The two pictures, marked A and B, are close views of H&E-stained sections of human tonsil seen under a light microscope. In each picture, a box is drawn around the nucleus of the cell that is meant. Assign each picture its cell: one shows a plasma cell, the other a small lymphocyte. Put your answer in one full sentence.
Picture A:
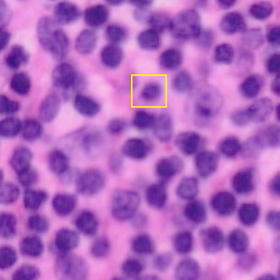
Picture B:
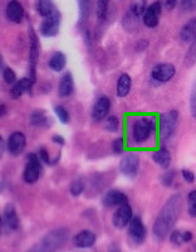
The cell in picture A is a small lymphocyte, and the one in picture B is a plasma cell.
